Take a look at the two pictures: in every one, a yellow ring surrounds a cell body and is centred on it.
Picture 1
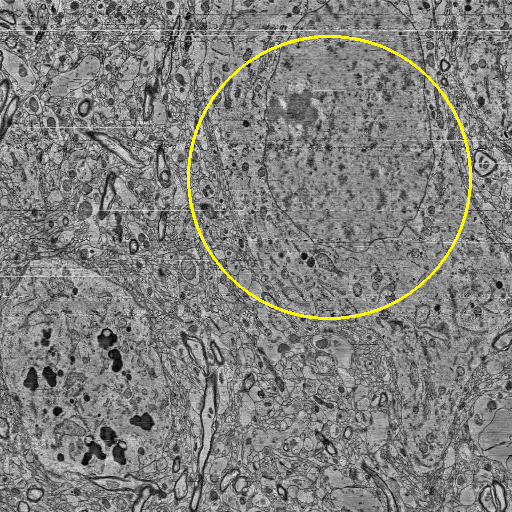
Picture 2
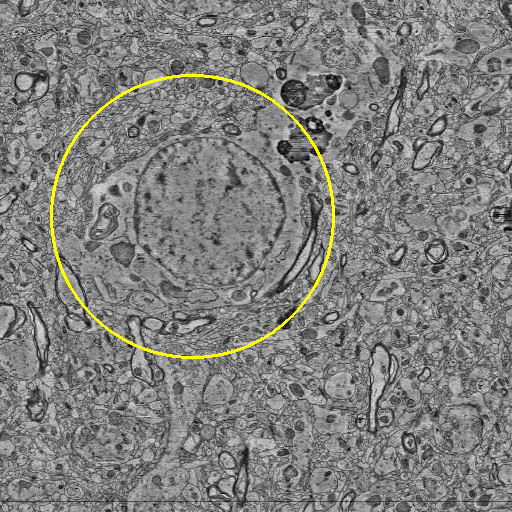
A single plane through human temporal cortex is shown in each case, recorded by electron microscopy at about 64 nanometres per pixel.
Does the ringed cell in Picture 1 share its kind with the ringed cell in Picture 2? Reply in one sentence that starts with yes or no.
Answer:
No, the two centred cells, one per picture, are of two kinds.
